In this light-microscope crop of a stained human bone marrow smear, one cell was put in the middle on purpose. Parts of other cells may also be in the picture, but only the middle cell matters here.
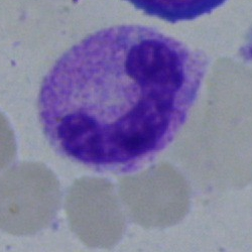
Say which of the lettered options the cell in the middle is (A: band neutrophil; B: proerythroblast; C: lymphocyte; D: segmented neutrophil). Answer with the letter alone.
A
